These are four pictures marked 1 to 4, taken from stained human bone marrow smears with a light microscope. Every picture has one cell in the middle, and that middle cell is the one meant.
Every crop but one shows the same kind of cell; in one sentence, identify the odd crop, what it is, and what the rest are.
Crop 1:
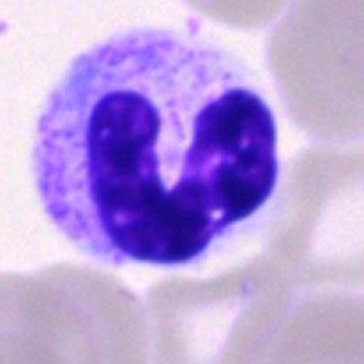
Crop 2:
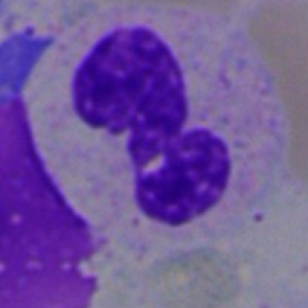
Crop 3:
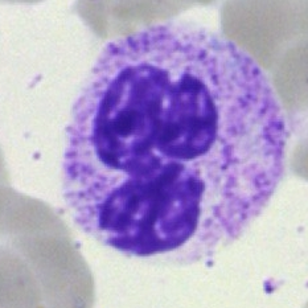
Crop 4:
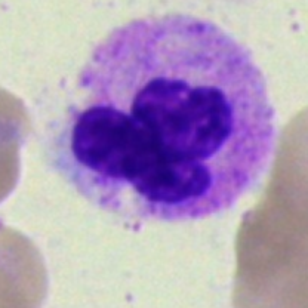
Crop 1 is the exception here: it is a band neutrophil, and the others are segmented neutrophils.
